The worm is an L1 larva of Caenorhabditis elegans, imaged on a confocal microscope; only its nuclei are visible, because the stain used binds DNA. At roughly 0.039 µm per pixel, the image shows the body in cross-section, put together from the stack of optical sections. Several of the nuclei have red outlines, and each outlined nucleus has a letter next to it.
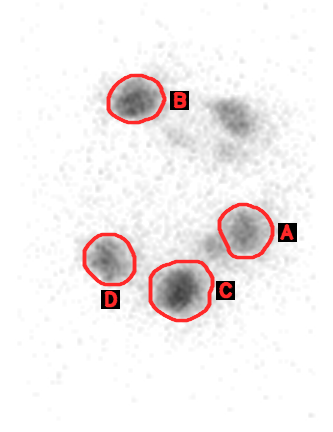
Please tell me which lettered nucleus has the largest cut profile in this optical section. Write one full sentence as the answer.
Of the marked nuclei, C is the biggest in this section.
